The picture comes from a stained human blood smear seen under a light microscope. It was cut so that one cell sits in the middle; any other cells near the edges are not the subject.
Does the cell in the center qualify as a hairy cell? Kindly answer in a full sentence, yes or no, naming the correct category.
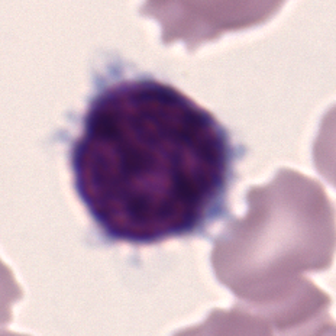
Yes, the cell in the middle is recognised as a hairy cell.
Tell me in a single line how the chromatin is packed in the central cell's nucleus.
Its chromatin is clumped in a coarse pattern.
